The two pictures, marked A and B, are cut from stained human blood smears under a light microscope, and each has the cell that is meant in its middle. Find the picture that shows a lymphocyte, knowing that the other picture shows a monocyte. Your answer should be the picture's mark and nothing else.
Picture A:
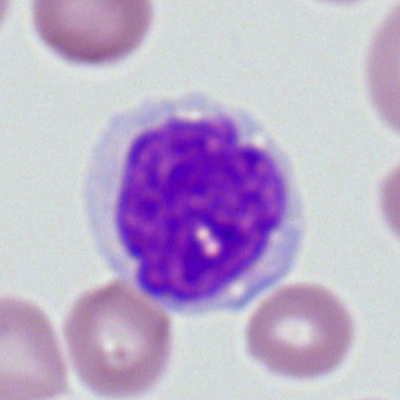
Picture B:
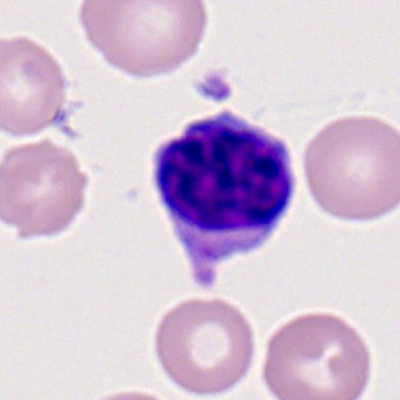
B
